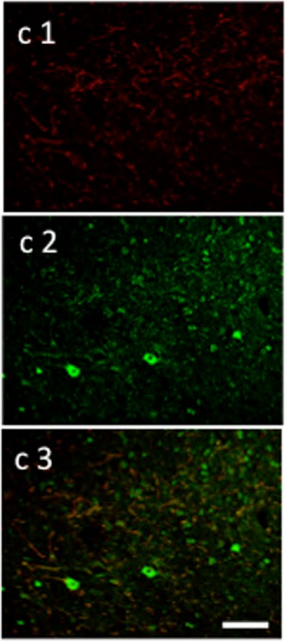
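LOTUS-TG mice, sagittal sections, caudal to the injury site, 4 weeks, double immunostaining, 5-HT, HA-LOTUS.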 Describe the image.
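This is spinal cord tissue at lower magnification, with short fragments of thin red fibres scattered across the field. The green image shows a granular background with a few brightly stained rounded cell bodies. In the merged image some fibres appear yellow-orange, while the bright rounded cell bodies remain green.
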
